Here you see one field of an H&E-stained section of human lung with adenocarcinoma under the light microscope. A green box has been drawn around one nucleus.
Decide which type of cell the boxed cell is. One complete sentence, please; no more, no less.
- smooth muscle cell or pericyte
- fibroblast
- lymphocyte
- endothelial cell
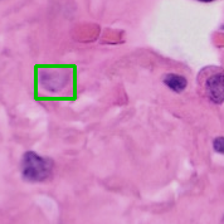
Assigned to a cell type, the boxed cell is a fibroblast.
